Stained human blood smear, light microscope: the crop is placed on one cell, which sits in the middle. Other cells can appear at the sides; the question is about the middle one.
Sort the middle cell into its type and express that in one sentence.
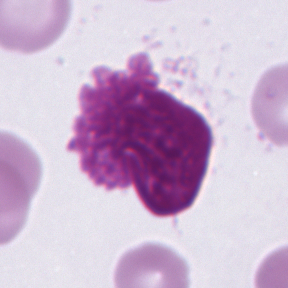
Framed in the middle of the crop is a smudge cell.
